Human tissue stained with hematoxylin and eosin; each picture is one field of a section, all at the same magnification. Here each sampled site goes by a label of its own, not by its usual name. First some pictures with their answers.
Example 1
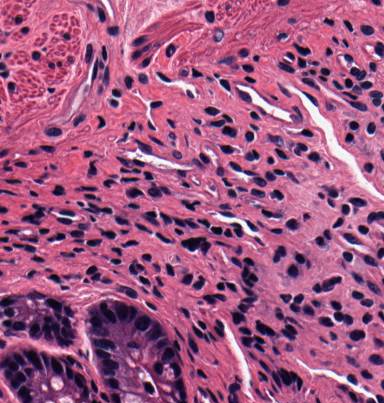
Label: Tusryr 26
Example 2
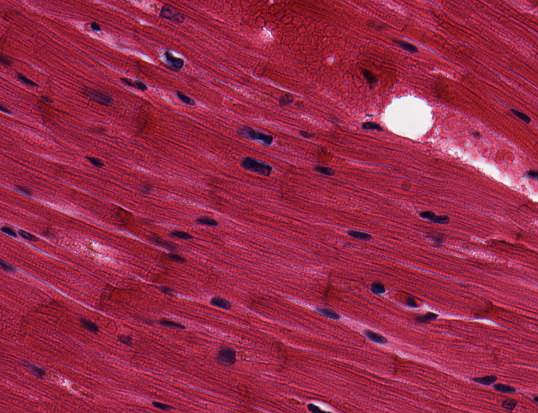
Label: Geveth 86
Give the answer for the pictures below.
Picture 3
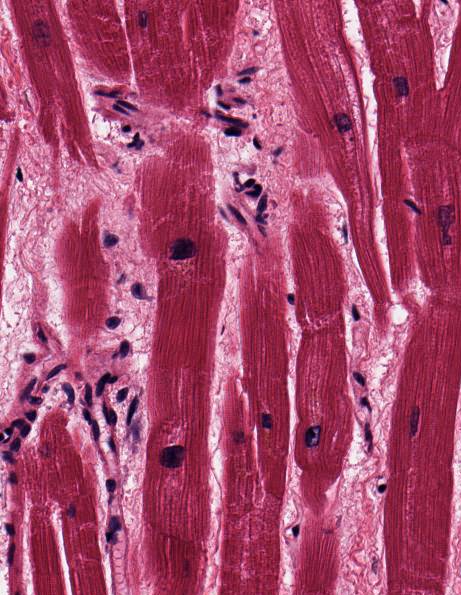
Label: Geveth 86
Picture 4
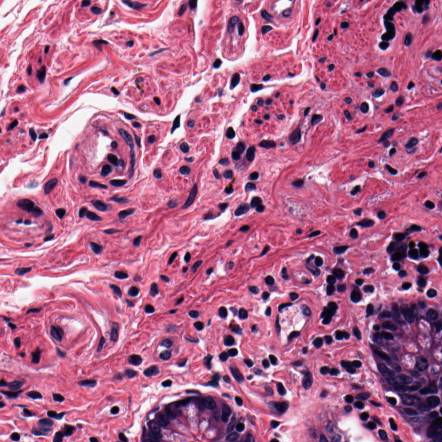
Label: Tusryr 26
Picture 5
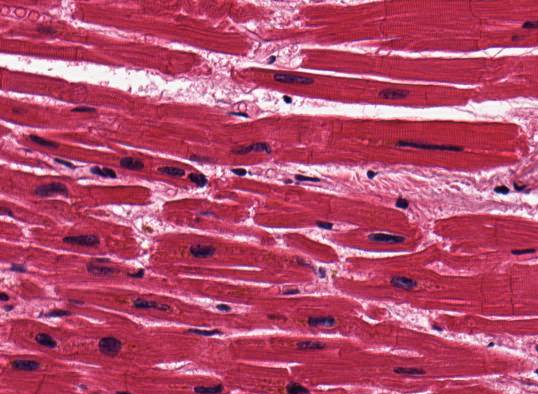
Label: Geveth 86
